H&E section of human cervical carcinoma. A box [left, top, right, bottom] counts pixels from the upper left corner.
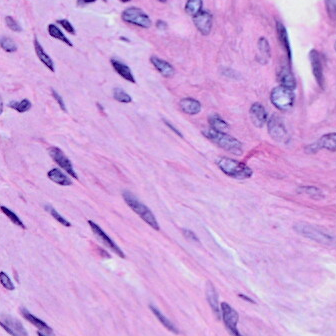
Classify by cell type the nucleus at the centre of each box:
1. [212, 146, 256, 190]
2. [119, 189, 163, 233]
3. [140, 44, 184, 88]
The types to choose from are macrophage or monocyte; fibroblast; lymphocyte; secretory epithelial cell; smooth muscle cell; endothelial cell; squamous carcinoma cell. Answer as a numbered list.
1. smooth muscle cell
2. fibroblast
3. smooth muscle cell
